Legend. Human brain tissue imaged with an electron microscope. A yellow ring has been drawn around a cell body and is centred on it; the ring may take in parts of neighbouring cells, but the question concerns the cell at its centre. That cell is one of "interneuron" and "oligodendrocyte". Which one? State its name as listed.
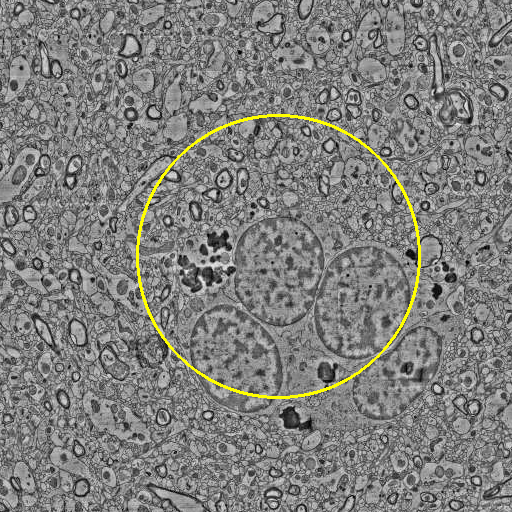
oligodendrocyte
